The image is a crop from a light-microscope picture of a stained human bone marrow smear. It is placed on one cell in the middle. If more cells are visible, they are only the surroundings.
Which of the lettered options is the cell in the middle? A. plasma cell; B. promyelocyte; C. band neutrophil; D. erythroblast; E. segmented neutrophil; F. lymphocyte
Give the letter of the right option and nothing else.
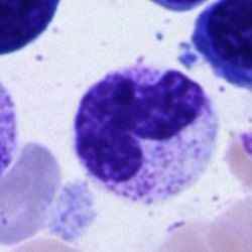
C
